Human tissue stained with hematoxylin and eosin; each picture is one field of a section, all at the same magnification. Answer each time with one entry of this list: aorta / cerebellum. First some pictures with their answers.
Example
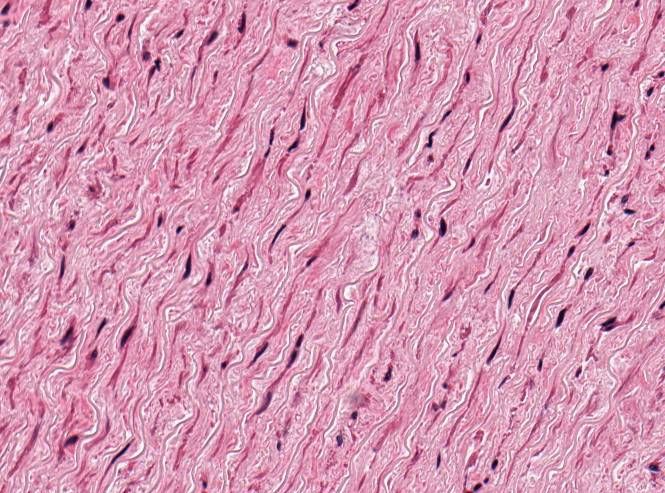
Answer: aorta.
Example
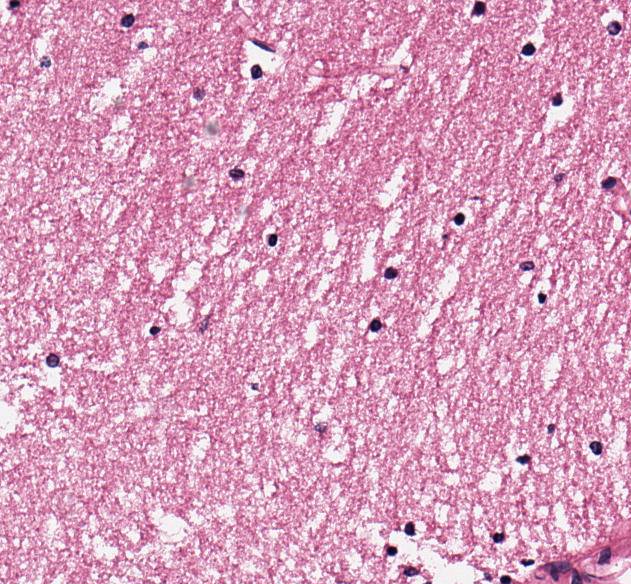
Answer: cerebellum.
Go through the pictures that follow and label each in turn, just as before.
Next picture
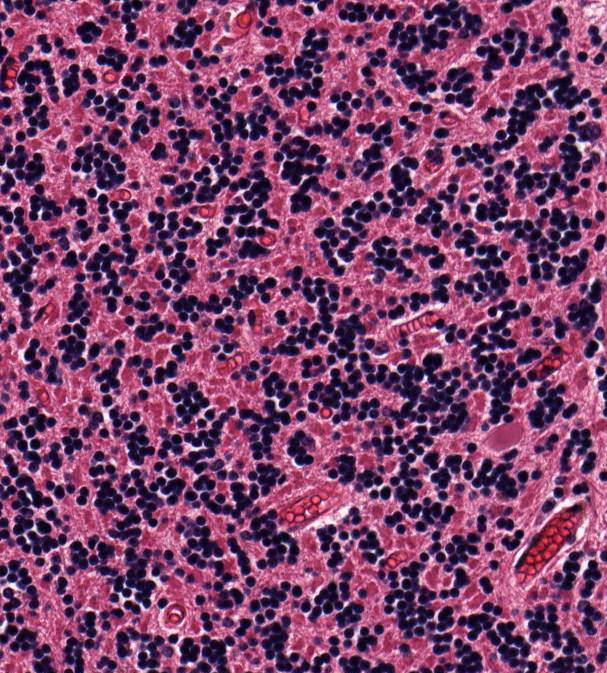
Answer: cerebellum.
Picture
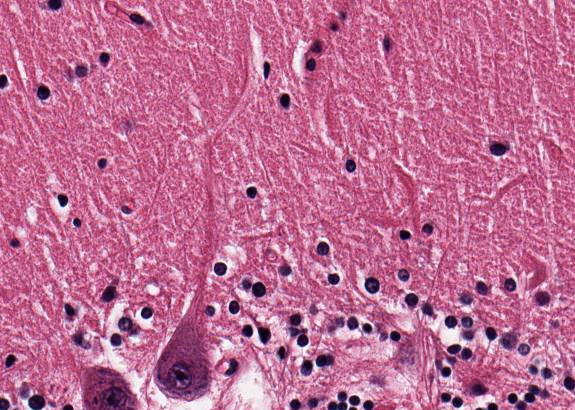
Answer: cerebellum.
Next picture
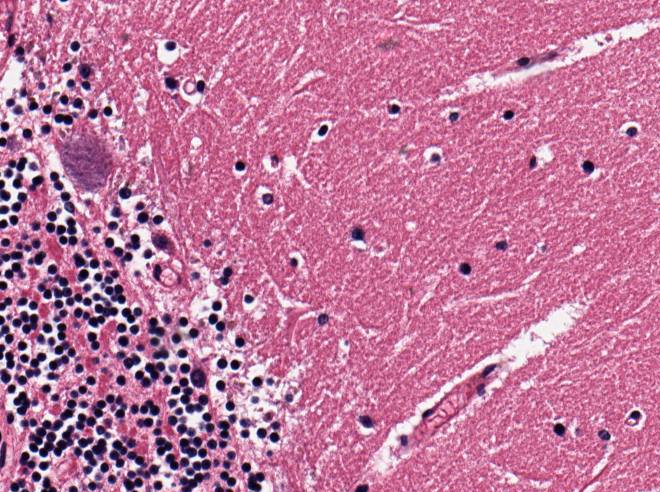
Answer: cerebellum.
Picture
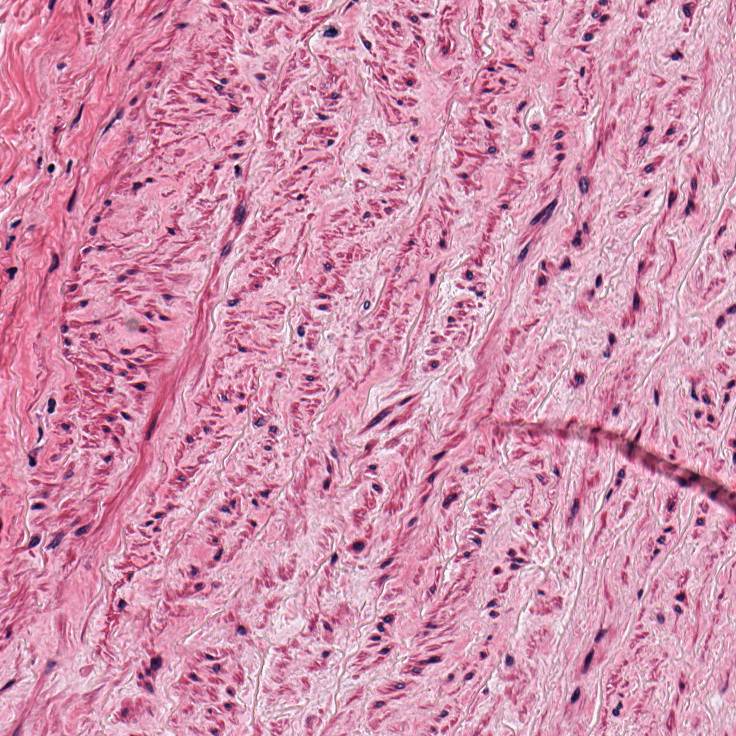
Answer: aorta.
